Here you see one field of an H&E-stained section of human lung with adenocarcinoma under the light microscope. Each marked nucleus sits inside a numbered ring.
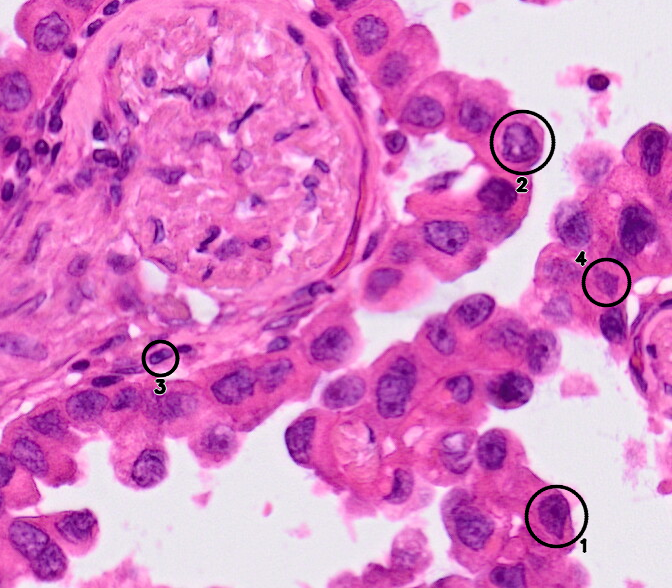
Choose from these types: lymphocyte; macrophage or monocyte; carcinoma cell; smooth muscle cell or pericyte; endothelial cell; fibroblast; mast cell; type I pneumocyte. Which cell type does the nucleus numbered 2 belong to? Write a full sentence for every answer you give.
Cell 2, as marked in the section, is a carcinoma cell.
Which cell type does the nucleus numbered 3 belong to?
The correct label for cell 3 is a lymphocyte.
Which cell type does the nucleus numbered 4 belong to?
Among the marked cells, number 4 is a carcinoma cell.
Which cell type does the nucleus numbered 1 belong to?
Looking at the numbered marks, cell 1 is a carcinoma cell.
